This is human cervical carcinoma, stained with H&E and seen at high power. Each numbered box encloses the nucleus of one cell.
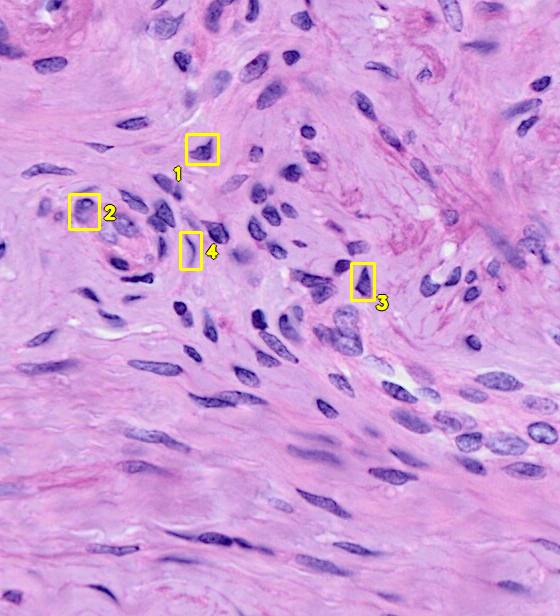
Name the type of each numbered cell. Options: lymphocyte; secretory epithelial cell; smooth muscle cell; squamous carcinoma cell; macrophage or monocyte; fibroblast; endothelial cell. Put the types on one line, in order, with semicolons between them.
fibroblast; endothelial cell; fibroblast; fibroblast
